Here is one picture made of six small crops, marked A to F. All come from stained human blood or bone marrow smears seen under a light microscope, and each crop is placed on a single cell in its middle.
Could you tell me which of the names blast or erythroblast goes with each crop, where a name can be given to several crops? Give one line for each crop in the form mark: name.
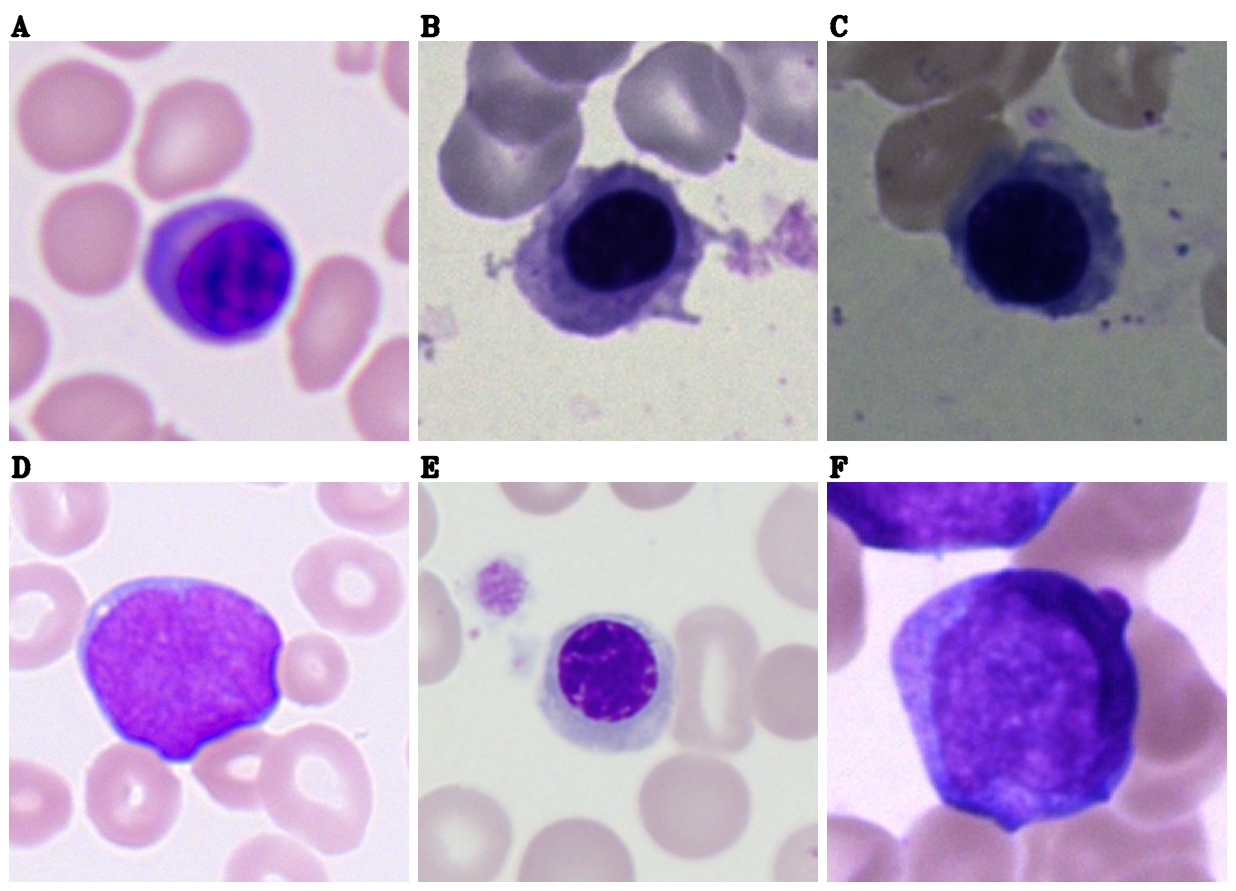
A: erythroblast
B: erythroblast
C: erythroblast
D: blast
E: erythroblast
F: blast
